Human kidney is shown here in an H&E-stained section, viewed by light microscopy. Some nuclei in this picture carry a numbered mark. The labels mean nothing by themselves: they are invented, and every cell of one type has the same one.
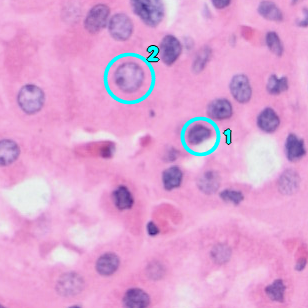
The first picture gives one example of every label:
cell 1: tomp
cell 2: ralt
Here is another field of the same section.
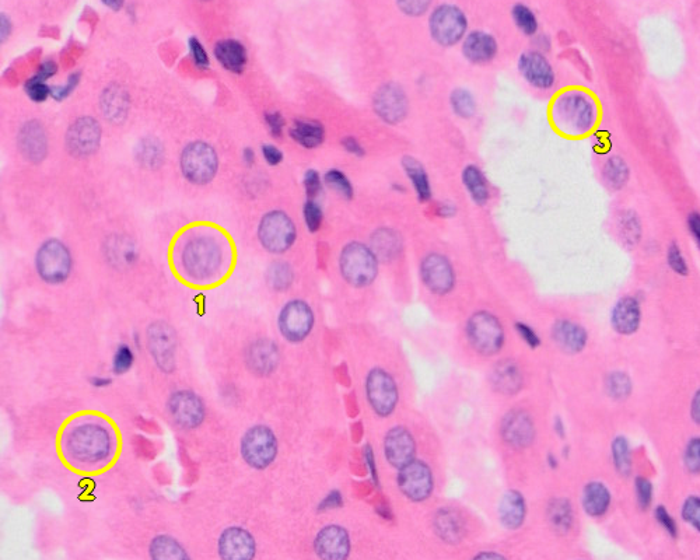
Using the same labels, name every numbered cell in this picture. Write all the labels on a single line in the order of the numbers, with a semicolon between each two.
ralt; ralt; tomp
